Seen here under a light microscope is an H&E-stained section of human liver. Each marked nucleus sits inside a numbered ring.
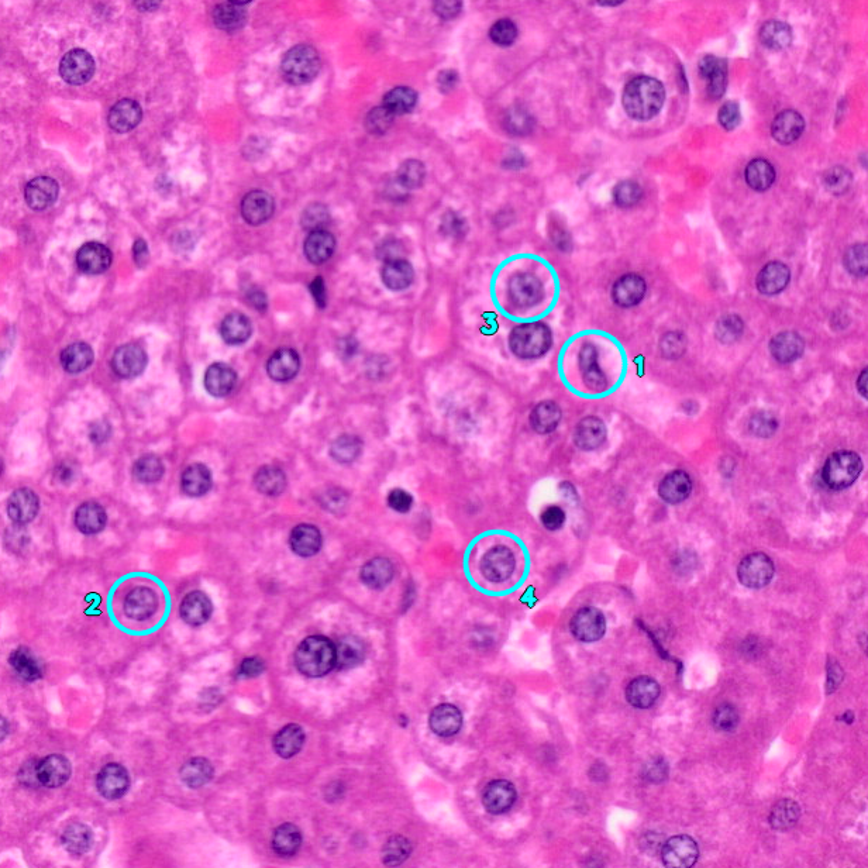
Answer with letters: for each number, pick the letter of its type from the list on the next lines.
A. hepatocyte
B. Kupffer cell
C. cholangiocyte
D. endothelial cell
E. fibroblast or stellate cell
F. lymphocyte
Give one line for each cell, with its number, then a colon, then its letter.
1: B
2: A
3: A
4: A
